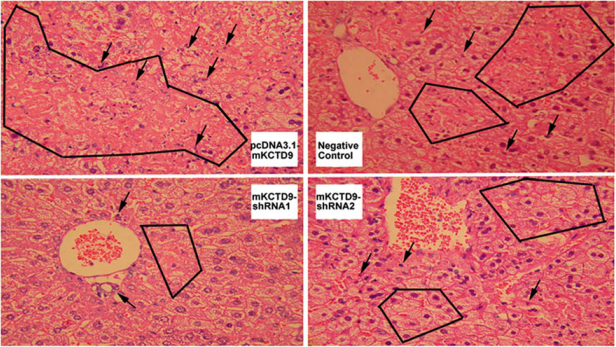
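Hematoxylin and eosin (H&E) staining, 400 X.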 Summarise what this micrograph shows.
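Four fields of liver tissue stained pink and purple show plates of large polygonal hepatocytes with round purple nuclei, some fields containing a central vessel filled with red blood cells. Small cells with dark, compact nuclei, marked by arrows, lie scattered among the hepatocytes. Outlined areas hold pale, loosely textured tissue in which cell borders and nuclei are indistinct. In one field the outlined pale area is large and spreads across much of the view, while in others it forms smaller patches.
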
